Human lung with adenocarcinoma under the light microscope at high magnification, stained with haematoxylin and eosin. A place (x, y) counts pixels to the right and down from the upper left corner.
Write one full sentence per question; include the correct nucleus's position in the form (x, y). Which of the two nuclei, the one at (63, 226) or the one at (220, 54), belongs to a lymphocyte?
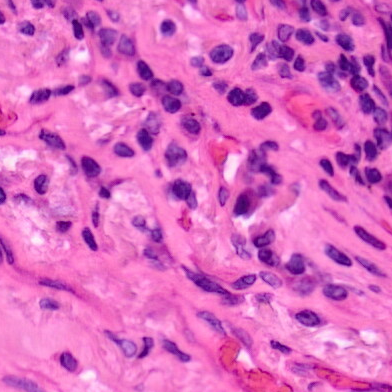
The nucleus at (220, 54) is the one of the two that belongs to a lymphocyte.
